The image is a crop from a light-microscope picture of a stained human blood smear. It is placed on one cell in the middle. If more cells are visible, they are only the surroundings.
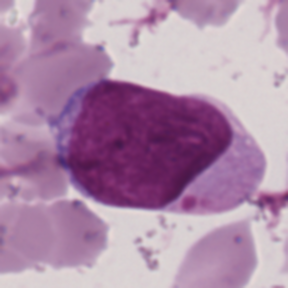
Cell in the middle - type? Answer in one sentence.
This crop has a myeloblast at its centre.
